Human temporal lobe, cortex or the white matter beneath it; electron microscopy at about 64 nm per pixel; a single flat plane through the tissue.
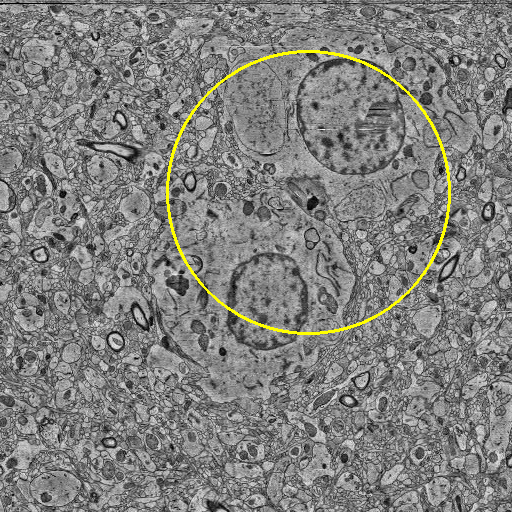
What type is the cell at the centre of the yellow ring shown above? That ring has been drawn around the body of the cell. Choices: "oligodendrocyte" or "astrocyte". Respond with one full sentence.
My answer is that an oligodendrocyte lies at the centre of the yellow ring above.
